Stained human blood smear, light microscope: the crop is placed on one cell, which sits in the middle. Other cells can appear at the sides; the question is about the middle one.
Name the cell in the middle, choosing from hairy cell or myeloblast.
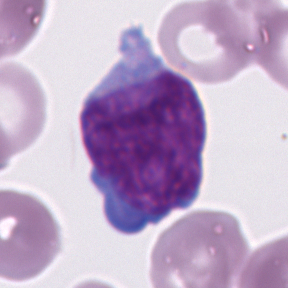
myeloblast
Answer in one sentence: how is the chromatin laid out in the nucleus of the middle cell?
What stands out is fine chromatin lacking any coarse clumps.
